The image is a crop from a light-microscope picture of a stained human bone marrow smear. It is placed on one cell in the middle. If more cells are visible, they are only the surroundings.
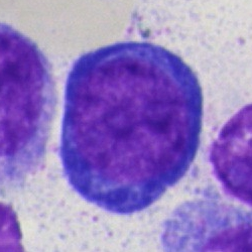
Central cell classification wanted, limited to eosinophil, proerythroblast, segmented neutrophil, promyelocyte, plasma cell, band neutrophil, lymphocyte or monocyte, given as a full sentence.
By type, the central cell of the crop is a proerythroblast.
